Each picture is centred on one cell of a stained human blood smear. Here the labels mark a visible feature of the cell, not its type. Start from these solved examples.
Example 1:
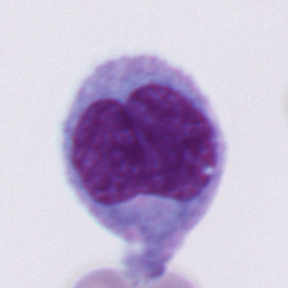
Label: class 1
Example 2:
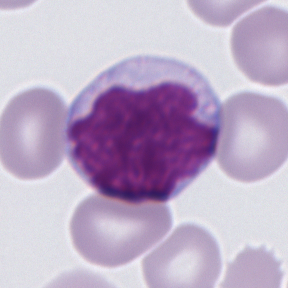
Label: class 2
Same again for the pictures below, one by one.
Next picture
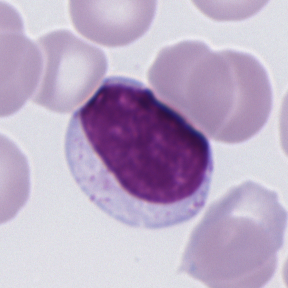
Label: class 2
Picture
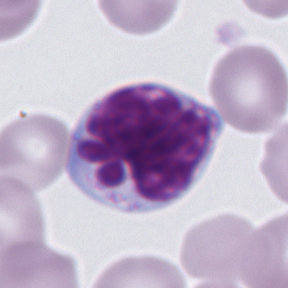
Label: class 2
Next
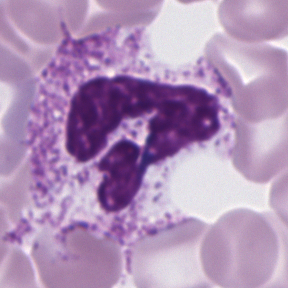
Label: class 1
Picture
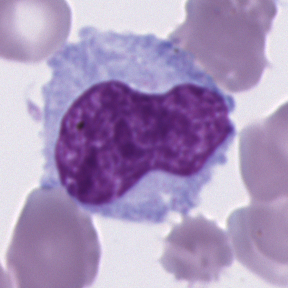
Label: class 1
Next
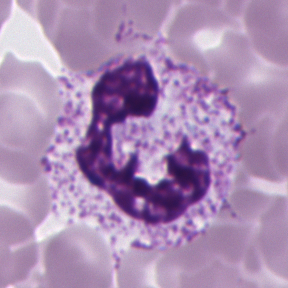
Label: class 1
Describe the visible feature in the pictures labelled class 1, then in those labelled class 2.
Seen in class 1: ragged outline or projections; seen in class 2: smooth outline.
